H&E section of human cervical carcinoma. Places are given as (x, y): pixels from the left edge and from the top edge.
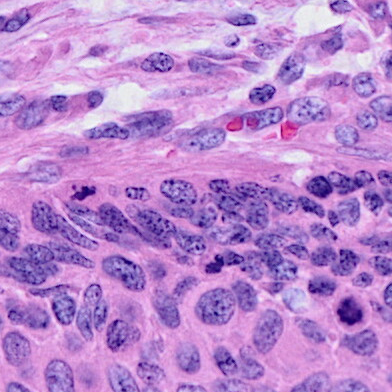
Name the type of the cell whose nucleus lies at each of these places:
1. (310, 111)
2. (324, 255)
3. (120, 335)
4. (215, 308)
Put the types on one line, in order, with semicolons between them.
endothelial cell; squamous carcinoma cell; squamous carcinoma cell; squamous carcinoma cell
